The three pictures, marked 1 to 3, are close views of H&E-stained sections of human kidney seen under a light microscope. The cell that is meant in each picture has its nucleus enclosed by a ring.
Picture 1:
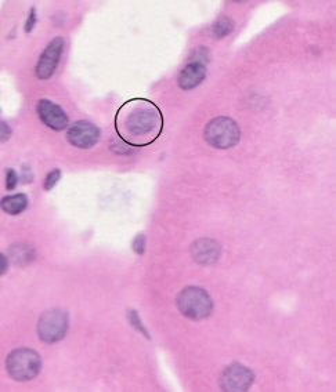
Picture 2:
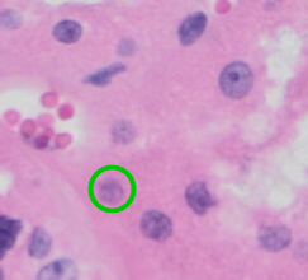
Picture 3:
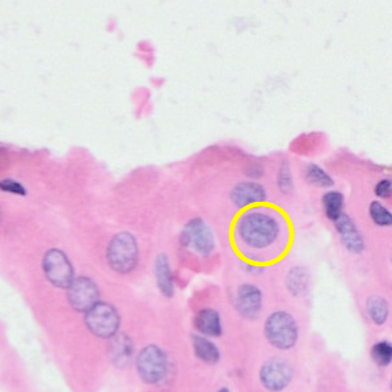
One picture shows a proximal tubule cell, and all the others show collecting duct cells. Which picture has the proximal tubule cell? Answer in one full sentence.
The picture with the proximal tubule cell is 2.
